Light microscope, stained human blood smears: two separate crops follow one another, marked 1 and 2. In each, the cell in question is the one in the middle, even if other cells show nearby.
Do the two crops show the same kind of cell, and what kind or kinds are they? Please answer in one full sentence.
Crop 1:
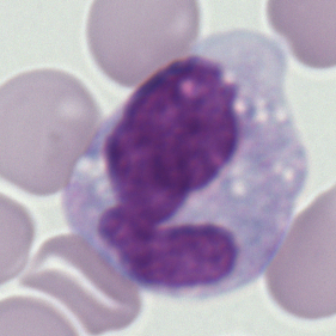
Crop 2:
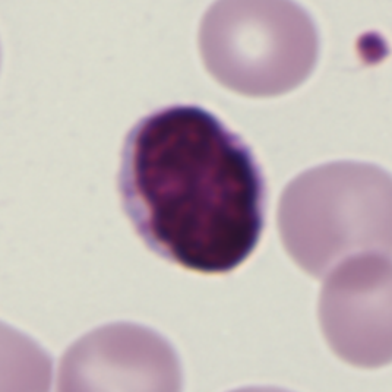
No, a monocyte and a large granular lymphocyte are found in crop 1 and crop 2, respectively.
